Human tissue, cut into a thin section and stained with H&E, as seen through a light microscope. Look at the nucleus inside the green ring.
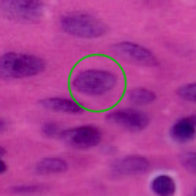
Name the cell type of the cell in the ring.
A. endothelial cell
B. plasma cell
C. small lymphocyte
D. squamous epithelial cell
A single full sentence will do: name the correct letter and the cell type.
In this case the cell in the ring is a squamous epithelial cell, so option D is correct.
